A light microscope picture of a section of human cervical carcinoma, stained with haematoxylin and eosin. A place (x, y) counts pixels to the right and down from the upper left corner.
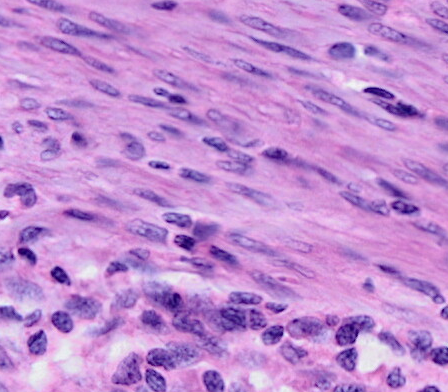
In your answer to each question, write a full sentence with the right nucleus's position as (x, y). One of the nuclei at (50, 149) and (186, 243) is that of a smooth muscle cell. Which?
Which one belongs to a smooth muscle cell? The nucleus at (50, 149) does.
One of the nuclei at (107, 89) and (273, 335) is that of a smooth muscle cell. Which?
Only the nucleus at (107, 89), of the two, belongs to a smooth muscle cell.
